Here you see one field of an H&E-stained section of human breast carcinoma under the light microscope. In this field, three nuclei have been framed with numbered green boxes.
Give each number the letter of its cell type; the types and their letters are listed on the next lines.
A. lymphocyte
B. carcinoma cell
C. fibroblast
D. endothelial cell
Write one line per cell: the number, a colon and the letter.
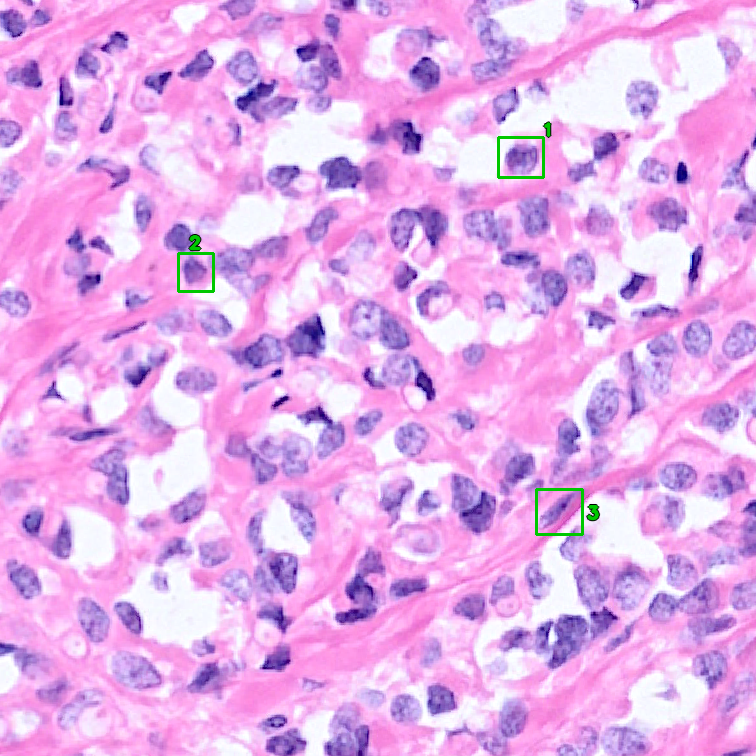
1: B
2: B
3: D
